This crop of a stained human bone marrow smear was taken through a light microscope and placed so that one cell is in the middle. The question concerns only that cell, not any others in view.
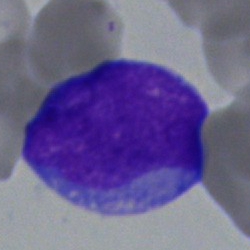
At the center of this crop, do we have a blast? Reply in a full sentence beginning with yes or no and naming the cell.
Yes, the identification of the central cell as a blast is correct.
